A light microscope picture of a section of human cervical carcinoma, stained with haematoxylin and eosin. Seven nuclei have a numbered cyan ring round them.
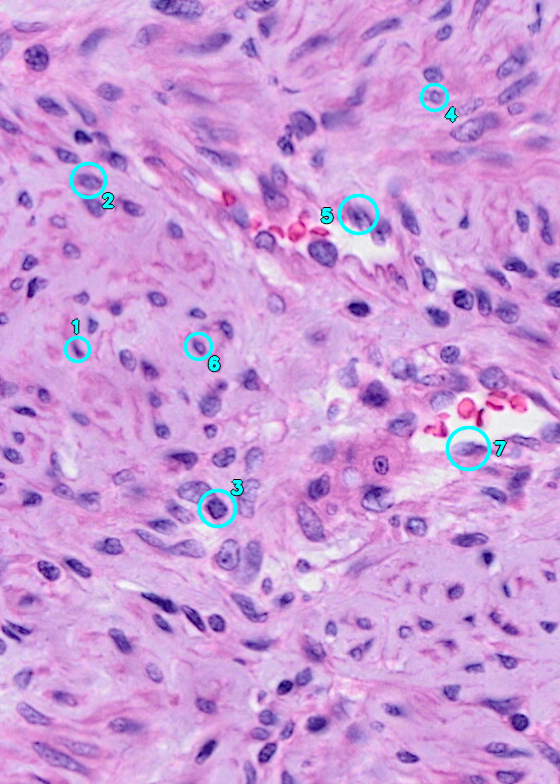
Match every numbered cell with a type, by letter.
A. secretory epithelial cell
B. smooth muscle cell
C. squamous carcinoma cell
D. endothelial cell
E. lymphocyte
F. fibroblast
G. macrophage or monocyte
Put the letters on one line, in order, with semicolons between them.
B; B; E; B; D; B; D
